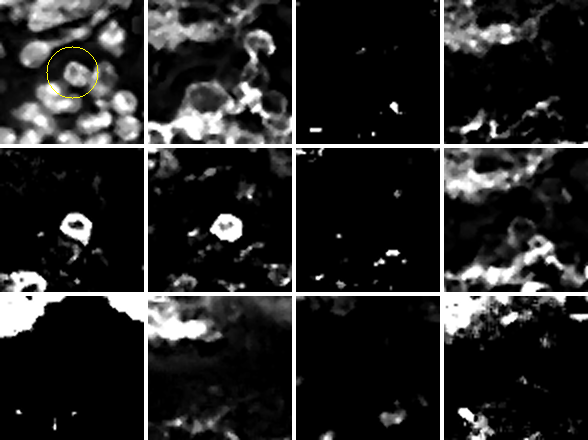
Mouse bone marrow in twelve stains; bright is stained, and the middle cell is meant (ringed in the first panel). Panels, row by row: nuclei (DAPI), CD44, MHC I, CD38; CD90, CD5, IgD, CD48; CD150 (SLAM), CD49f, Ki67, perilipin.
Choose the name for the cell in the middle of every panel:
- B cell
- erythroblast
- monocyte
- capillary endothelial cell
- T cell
T cell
